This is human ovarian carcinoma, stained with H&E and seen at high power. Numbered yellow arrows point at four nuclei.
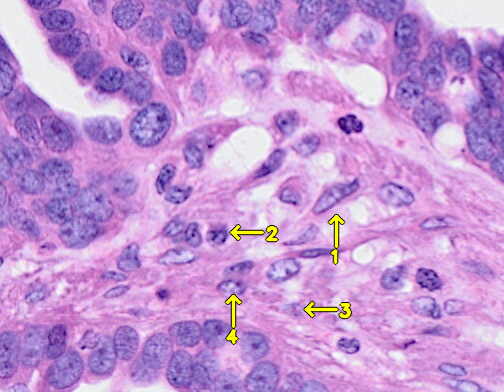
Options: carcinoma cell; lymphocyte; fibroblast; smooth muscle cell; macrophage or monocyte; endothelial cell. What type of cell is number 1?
fibroblast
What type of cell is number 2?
lymphocyte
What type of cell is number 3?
fibroblast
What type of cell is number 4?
fibroblast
